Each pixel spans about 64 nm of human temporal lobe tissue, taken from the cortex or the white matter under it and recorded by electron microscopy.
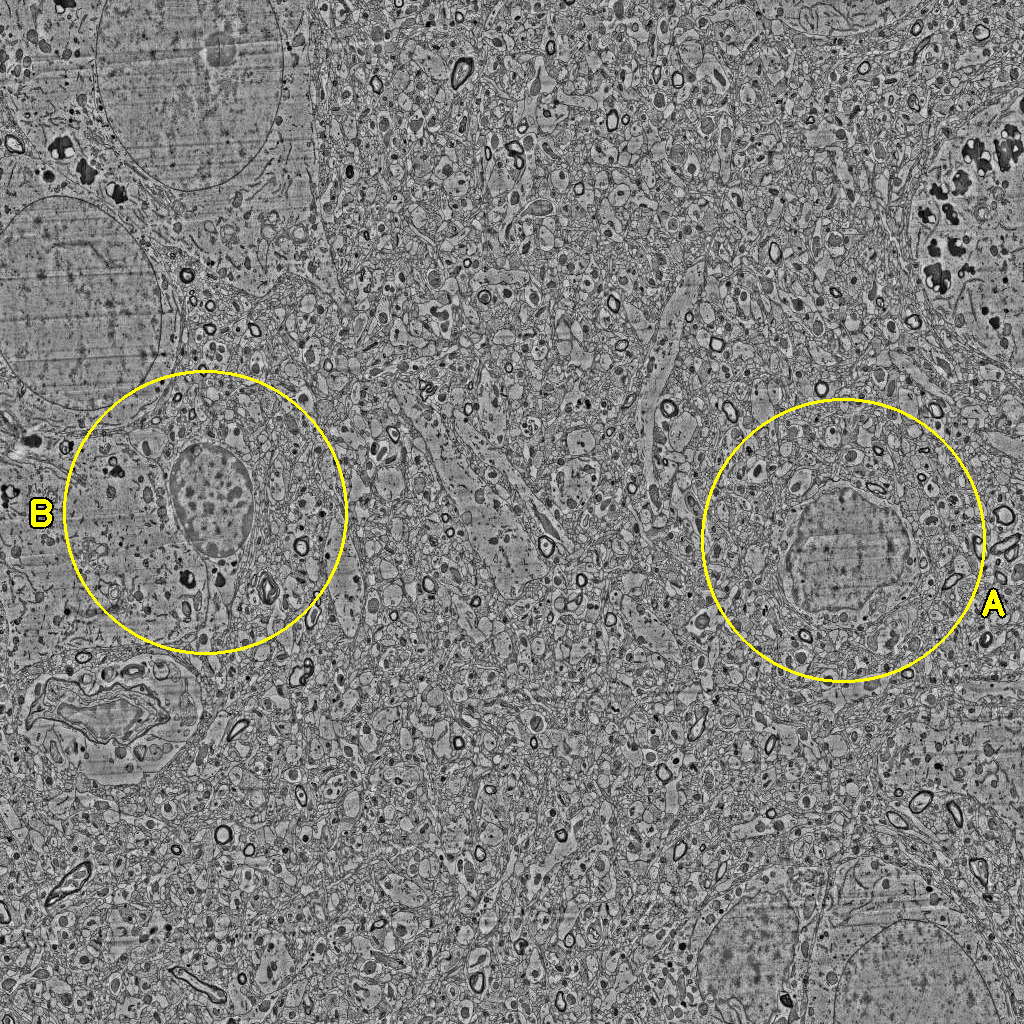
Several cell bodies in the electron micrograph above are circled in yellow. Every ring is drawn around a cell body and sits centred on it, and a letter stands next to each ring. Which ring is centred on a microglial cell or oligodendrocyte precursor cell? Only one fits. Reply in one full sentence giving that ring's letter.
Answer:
The ring centred on the cell asked for is Ring B.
